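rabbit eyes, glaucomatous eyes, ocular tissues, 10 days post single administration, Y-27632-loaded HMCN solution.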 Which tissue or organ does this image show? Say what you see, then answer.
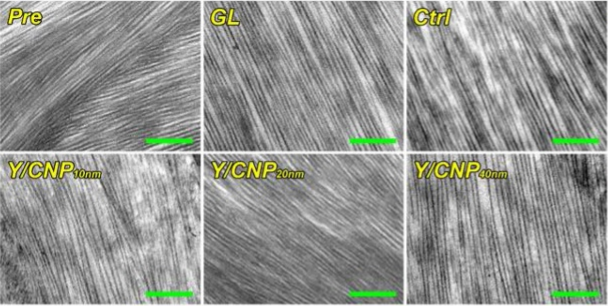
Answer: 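Long, thin fibrils run in parallel across each tile. The fibrils are tightly packed in bundles with slightly different directions between regions. On this evidence: corneal stroma.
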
